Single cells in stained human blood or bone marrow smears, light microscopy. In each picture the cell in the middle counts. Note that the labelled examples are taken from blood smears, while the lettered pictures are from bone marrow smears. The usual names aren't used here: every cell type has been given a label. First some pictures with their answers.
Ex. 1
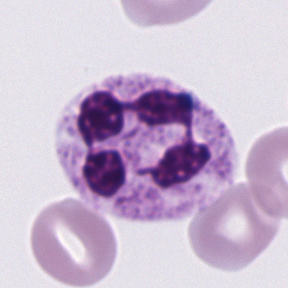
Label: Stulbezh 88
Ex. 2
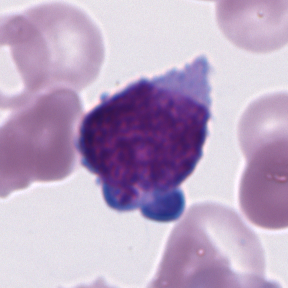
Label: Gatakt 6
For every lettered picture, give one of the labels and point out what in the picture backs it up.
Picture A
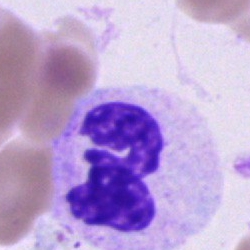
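Label: Stulbezh 88. The nucleus is a curved band folded into an S-like shape.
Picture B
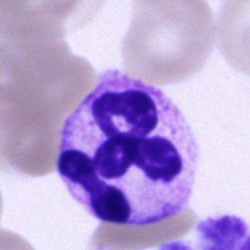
Label: Stulbezh 88. The cytoplasm is plentiful and pale pinkish-lilac.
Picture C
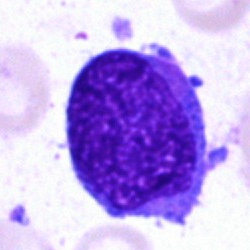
Label: Gatakt 6. The cytoplasm forms a narrow blue rim around the nucleus.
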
